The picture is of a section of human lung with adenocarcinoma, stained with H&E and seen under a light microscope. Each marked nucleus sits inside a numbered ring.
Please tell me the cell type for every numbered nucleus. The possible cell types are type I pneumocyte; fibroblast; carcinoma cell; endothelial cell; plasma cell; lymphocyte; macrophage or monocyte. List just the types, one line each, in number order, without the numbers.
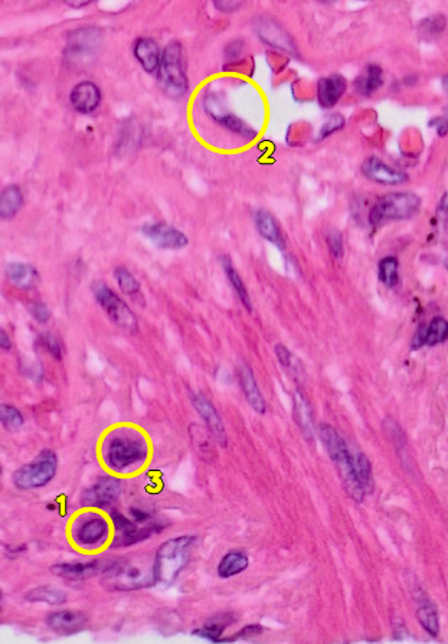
plasma cell
endothelial cell
plasma cell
